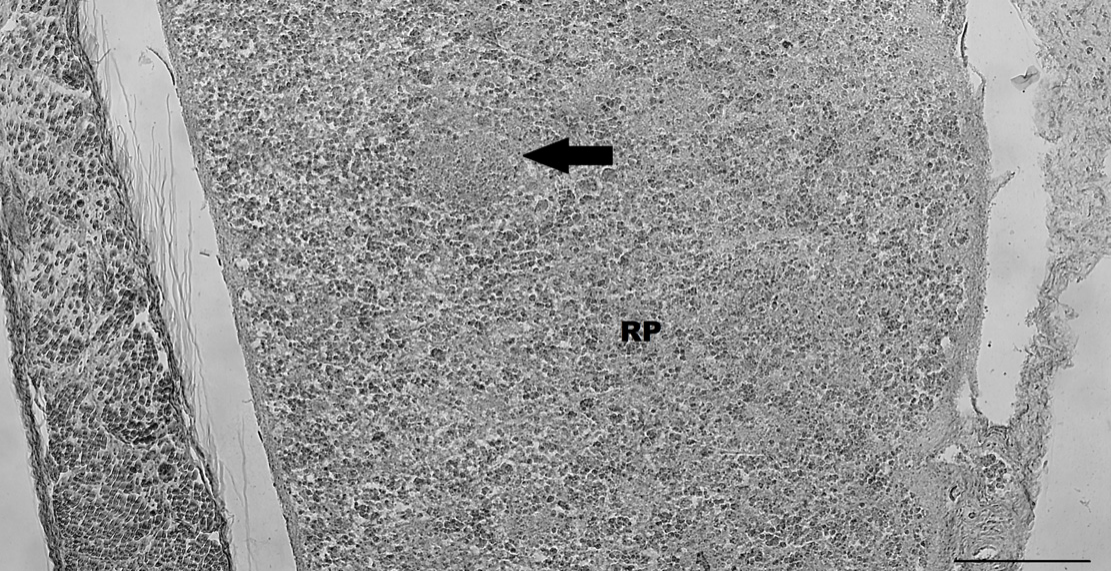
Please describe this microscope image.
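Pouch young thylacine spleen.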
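The cells are not evenly spread. Some areas are more tightly packed, including a small compact zone in the upper part, while other areas are looser and hold scattered clusters of darker cells. No sharply outlined nodules with pale centres can be seen.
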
